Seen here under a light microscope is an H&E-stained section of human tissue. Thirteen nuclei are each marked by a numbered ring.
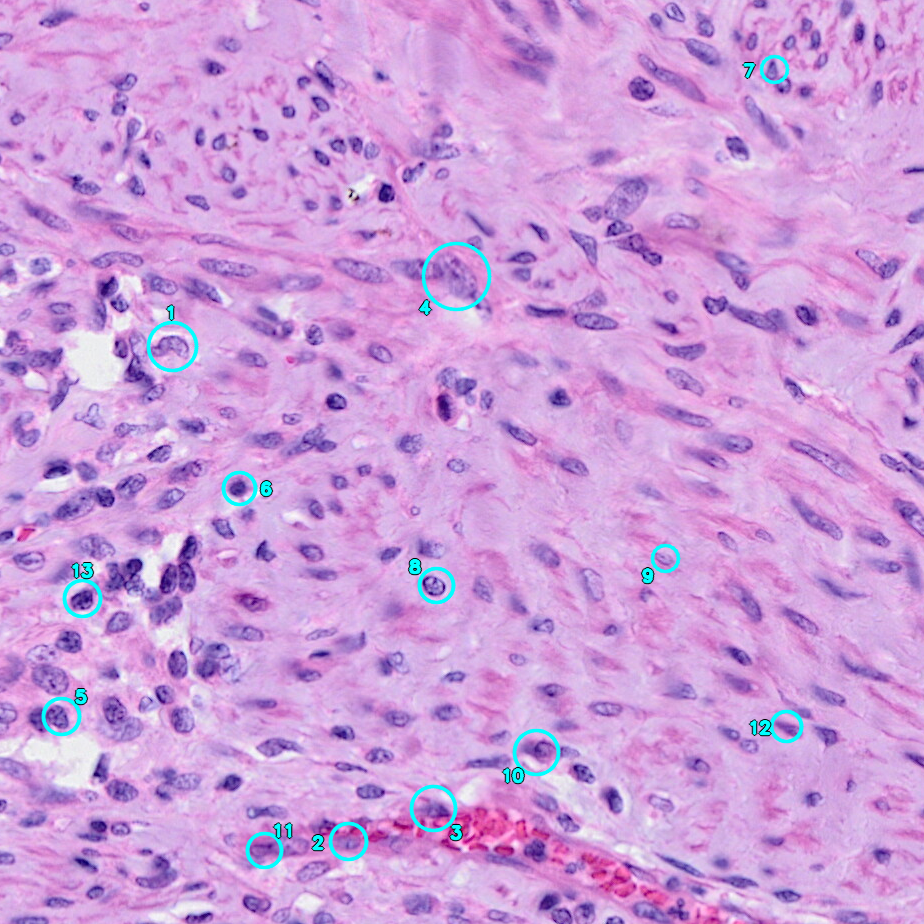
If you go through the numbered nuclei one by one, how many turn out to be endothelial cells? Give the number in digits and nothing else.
4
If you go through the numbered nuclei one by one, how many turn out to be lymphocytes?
4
